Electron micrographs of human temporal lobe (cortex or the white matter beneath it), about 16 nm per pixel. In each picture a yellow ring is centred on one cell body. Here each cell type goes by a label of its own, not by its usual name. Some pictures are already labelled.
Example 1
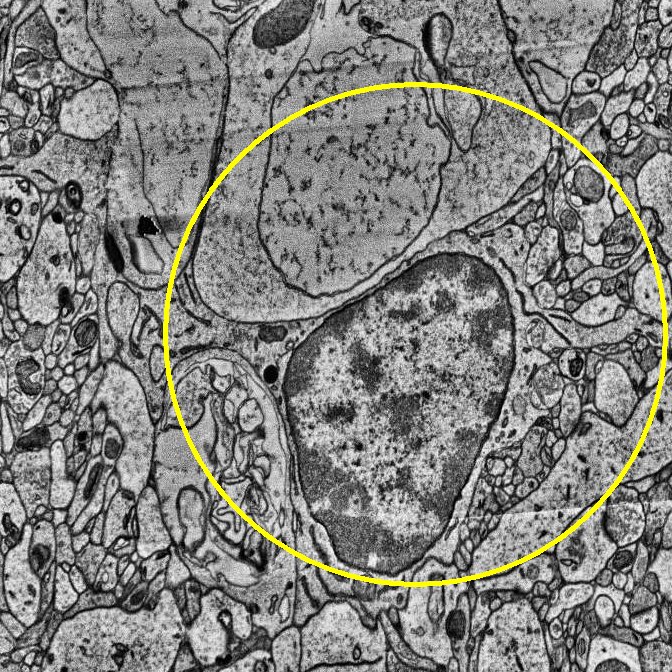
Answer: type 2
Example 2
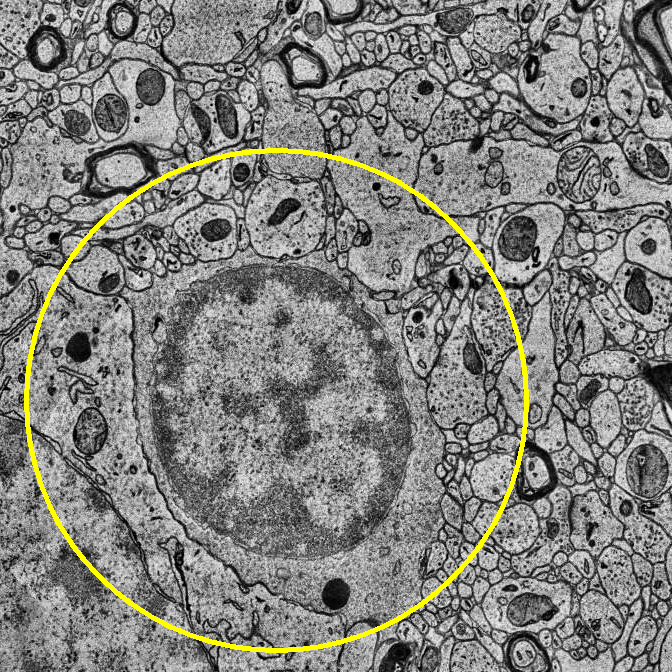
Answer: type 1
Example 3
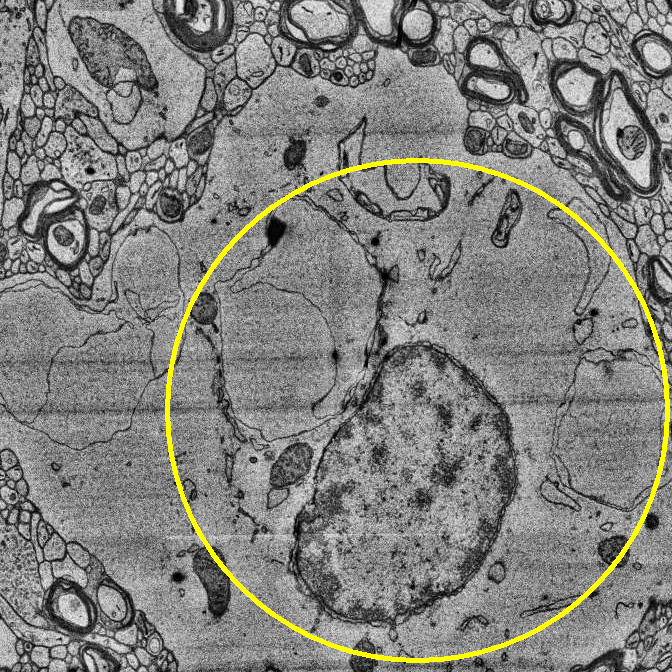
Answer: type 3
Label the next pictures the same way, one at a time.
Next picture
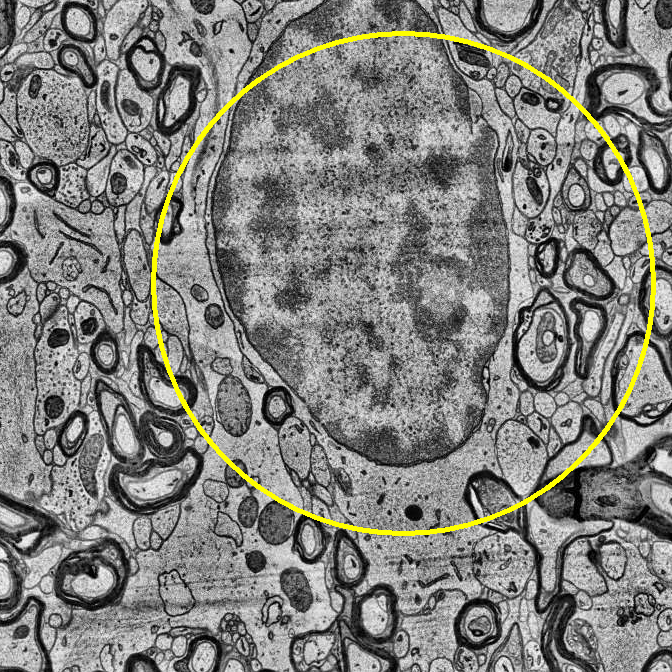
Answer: type 2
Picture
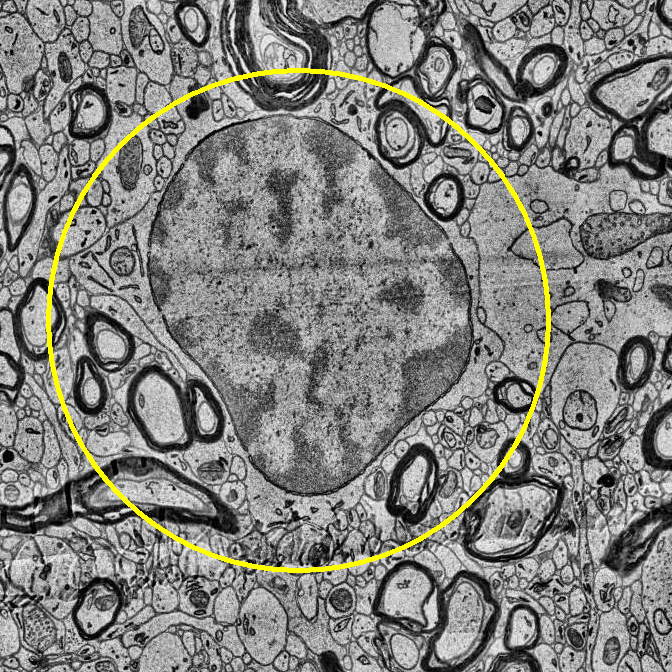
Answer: type 2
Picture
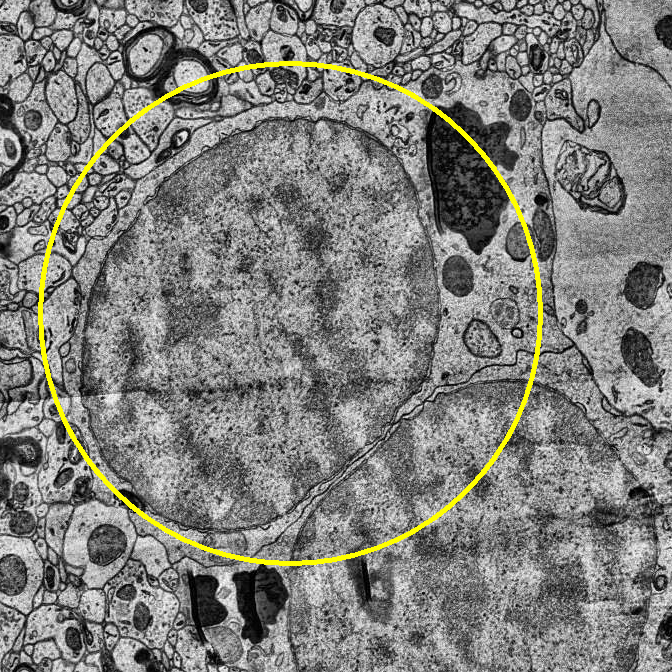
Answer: type 1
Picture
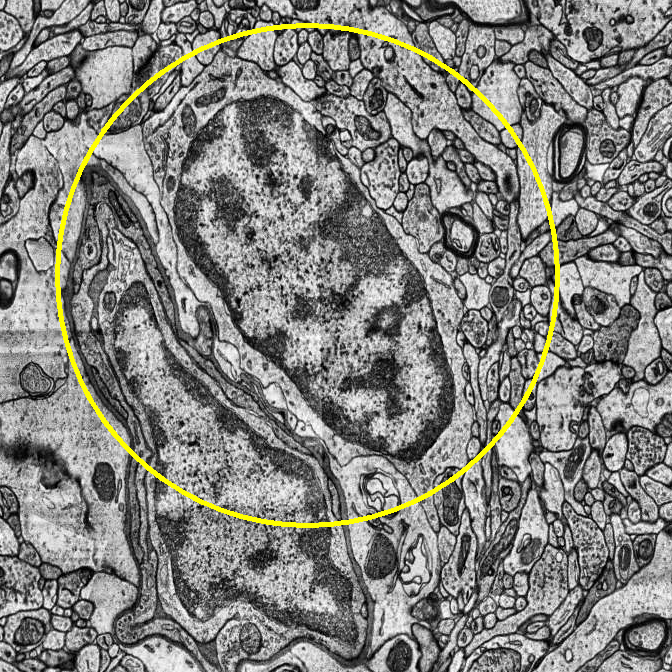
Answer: type 2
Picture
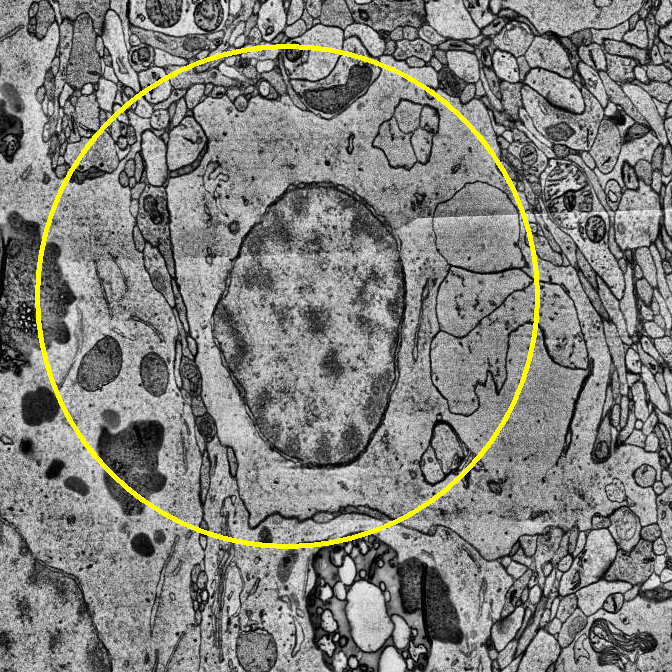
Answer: type 3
